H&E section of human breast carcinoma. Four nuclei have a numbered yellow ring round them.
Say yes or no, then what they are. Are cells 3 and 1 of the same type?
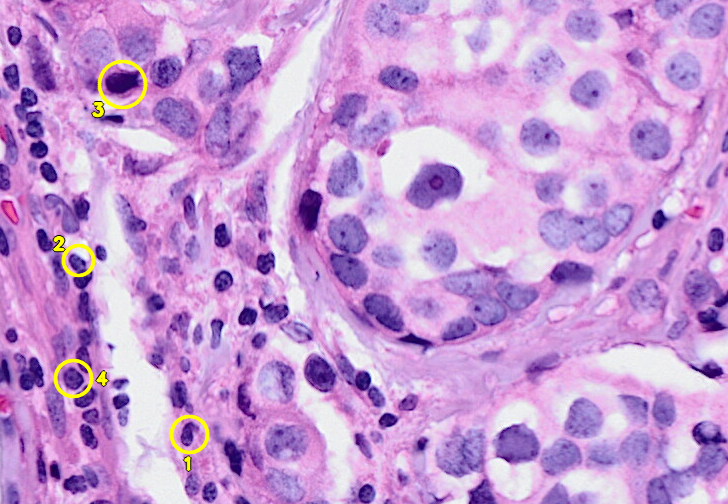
No, as for cell 3, it is a carcinoma cell, and cell 1 is a lymphocyte.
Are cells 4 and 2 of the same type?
Yes, cells 4 and 2 are both recognised as lymphocytes.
